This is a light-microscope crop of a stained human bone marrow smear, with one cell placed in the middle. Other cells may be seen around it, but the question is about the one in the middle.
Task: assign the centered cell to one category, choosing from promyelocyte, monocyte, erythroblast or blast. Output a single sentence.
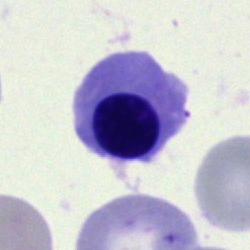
By classification, the middle cell of this crop is an erythroblast.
